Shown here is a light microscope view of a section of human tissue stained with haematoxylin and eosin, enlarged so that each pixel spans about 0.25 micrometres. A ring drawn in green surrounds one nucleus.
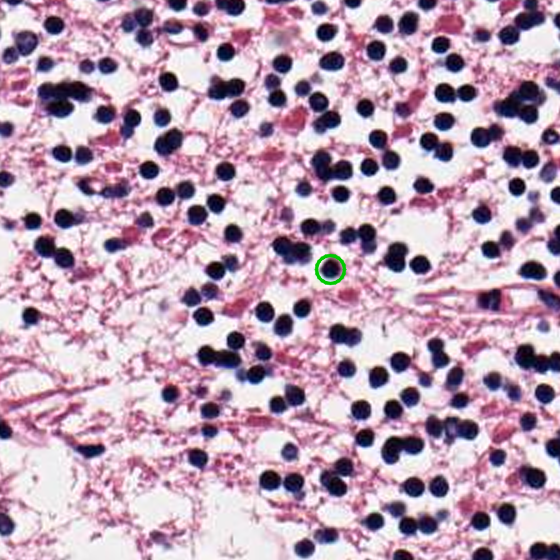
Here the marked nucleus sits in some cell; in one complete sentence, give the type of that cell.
The marked nucleus is housed in a cerebellar granule cell.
